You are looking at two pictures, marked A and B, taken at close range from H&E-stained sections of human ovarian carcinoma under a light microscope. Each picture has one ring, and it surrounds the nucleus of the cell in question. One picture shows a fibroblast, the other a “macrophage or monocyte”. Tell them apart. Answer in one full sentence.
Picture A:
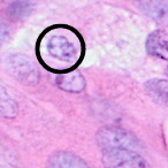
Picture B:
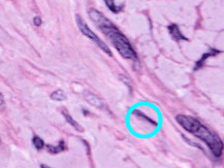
The cell in picture A is a “macrophage or monocyte”, and the one in picture B is a fibroblast.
